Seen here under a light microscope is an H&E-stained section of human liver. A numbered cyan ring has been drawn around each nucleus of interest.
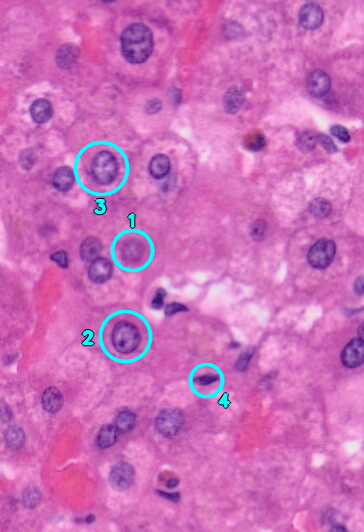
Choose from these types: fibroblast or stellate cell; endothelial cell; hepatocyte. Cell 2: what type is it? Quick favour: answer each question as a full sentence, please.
Number 2 among the marked cells is a hepatocyte.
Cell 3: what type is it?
The numeral 3 marks a hepatocyte in this section.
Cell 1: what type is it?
Marked with the number 1, this cell is a hepatocyte.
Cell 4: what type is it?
The numeral 4 marks a fibroblast or stellate cell in this section.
